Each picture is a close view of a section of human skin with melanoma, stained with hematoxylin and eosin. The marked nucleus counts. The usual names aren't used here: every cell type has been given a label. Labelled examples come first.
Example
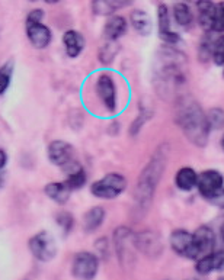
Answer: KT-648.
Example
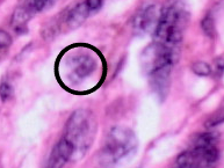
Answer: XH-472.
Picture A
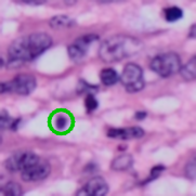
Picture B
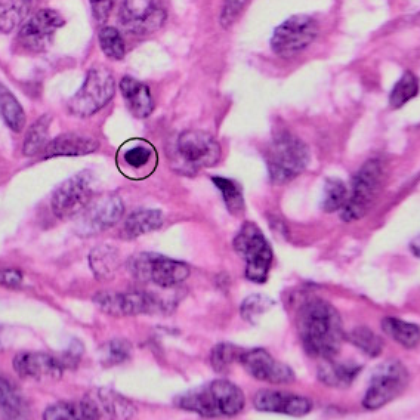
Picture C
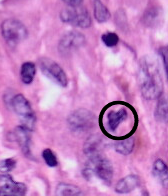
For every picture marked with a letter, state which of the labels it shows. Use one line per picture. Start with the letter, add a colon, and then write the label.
A: KT-648.
B: KT-648.
C: KT-648.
